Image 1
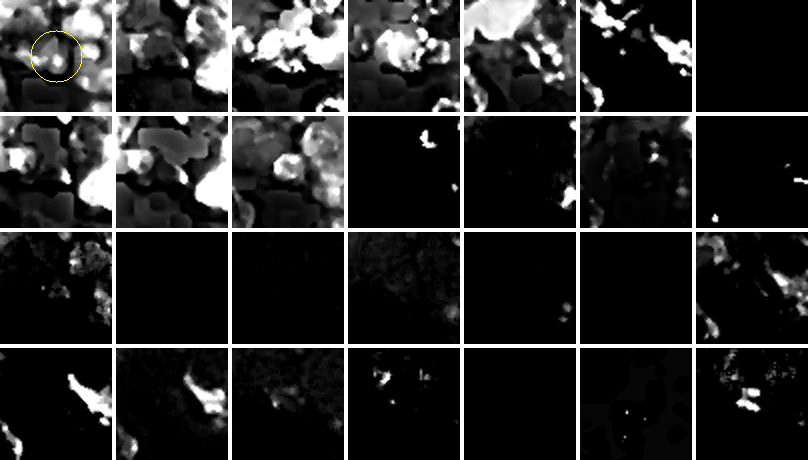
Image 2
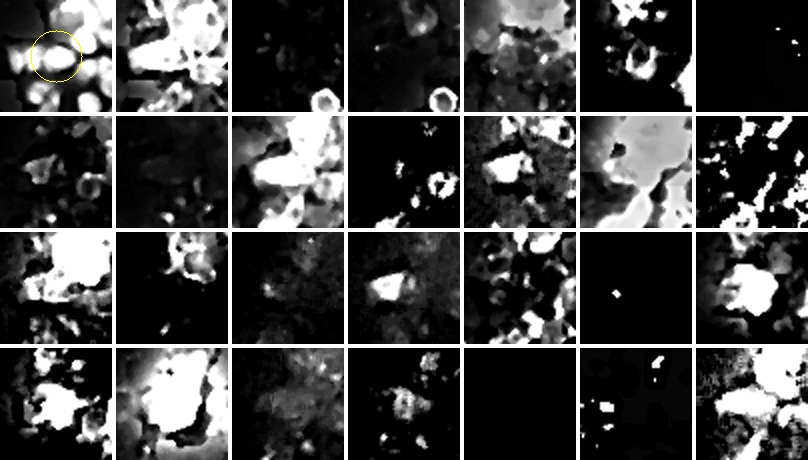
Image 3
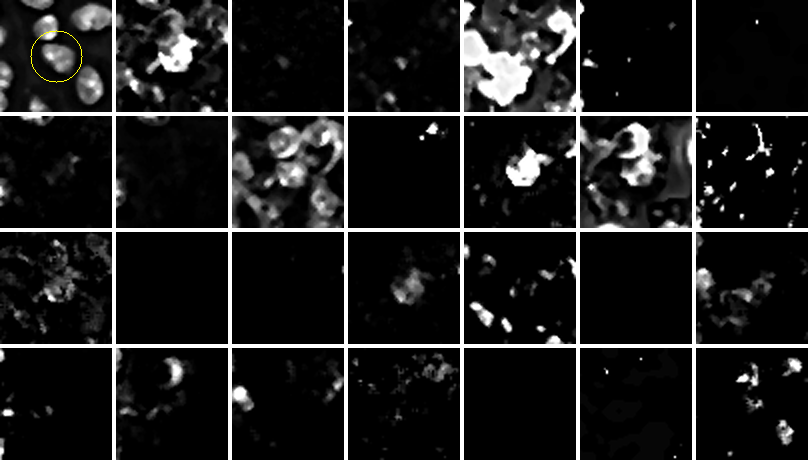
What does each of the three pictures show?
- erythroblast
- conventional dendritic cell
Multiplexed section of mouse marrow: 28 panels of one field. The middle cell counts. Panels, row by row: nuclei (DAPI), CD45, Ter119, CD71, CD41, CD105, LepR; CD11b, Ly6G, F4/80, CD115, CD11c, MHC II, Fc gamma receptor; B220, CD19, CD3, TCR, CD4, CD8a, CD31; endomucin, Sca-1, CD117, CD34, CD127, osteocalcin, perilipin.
(1) erythroblast
(2) conventional dendritic cell
(3) conventional dendritic cell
